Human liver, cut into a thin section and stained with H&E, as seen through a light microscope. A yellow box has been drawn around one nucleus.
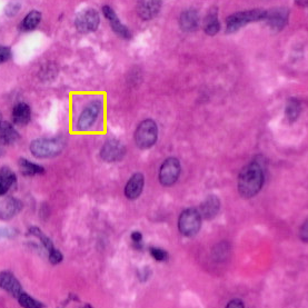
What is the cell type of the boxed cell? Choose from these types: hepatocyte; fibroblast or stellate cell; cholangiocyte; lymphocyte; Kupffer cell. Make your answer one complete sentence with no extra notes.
It is a cholangiocyte that the boxed cell represents.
